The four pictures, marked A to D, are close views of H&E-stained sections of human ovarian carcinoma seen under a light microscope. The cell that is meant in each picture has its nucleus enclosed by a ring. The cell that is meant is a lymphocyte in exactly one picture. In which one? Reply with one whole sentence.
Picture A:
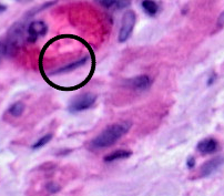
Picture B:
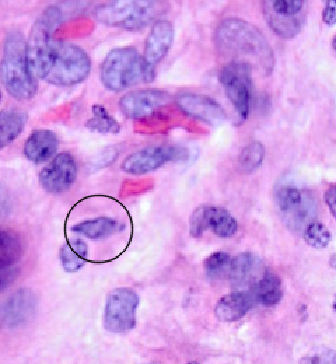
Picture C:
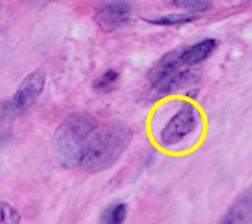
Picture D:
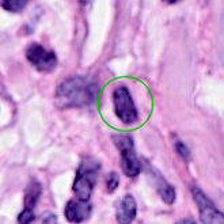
Picture D is the one that shows the lymphocyte.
